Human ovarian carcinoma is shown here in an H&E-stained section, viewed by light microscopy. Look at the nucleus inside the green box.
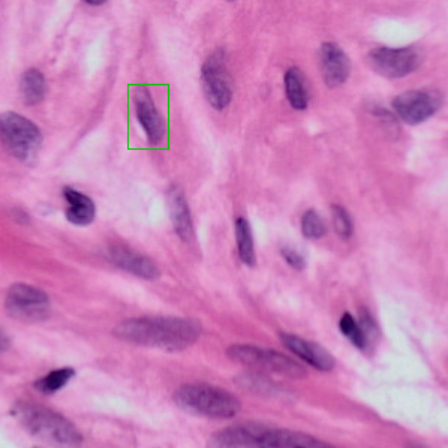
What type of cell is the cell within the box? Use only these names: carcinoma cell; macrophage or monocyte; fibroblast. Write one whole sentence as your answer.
What the cell within the box represents is a fibroblast.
